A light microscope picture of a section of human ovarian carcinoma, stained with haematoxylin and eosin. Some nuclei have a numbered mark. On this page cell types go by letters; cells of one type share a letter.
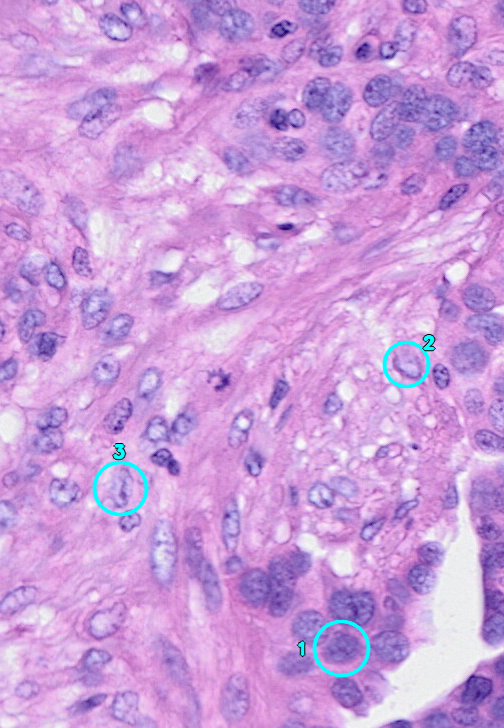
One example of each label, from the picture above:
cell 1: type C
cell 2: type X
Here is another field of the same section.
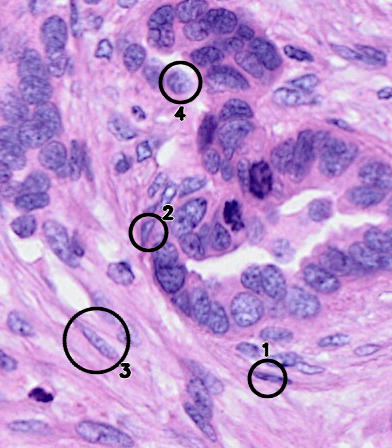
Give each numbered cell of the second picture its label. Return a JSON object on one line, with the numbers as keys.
{"1": "type X", "2": "type X", "3": "type X", "4": "type C"}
